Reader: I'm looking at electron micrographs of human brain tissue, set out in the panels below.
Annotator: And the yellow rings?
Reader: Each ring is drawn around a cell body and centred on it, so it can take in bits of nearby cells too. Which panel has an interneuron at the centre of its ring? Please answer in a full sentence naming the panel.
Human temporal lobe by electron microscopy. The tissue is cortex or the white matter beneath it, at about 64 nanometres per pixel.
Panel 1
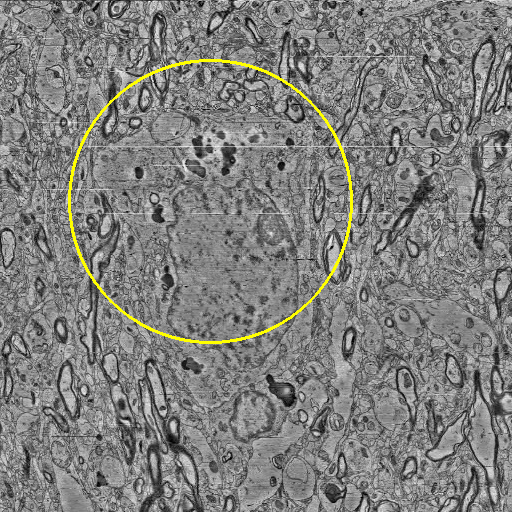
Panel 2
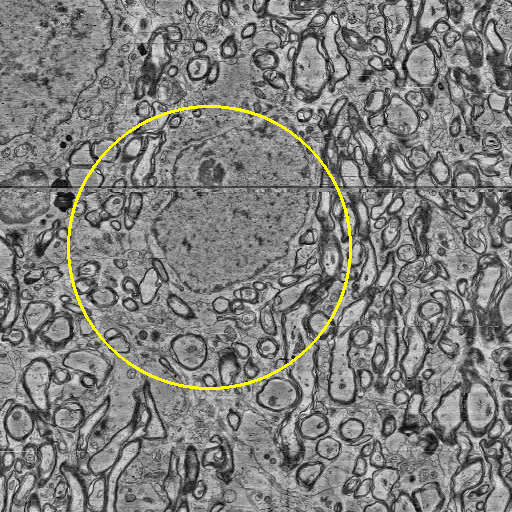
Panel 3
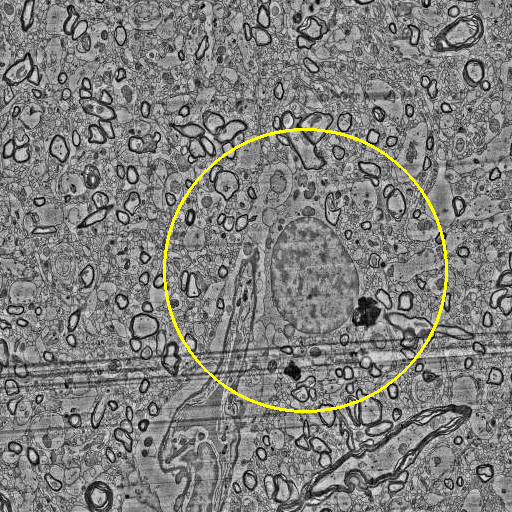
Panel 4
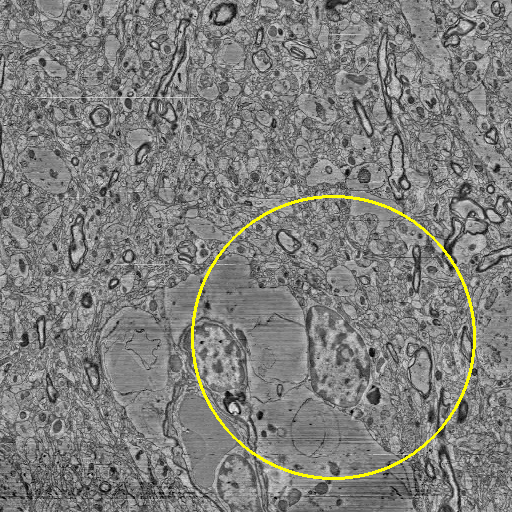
Panel 1 has it at the centre of its ring.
